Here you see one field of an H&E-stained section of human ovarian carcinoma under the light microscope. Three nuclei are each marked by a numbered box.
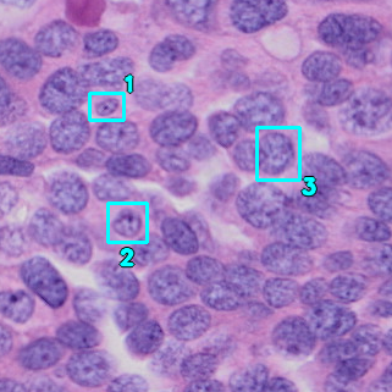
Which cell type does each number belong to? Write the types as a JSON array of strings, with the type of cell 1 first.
["macrophage or monocyte", "macrophage or monocyte", "carcinoma cell"]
